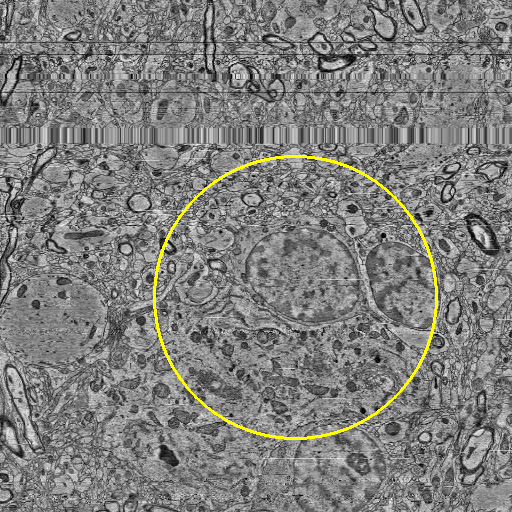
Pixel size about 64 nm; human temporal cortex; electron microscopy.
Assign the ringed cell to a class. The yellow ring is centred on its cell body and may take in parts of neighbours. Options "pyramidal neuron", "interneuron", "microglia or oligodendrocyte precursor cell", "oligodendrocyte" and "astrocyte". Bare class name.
oligodendrocyte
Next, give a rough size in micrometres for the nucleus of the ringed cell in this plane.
In this plane, roughly 8 by 6 micrometres.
